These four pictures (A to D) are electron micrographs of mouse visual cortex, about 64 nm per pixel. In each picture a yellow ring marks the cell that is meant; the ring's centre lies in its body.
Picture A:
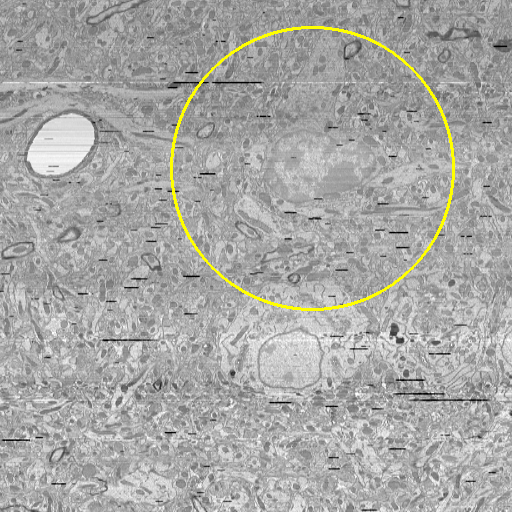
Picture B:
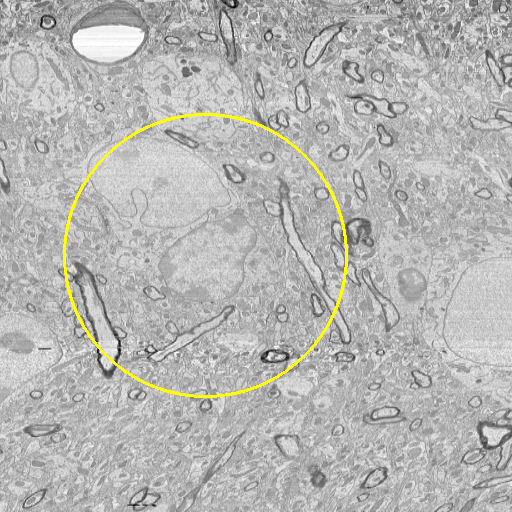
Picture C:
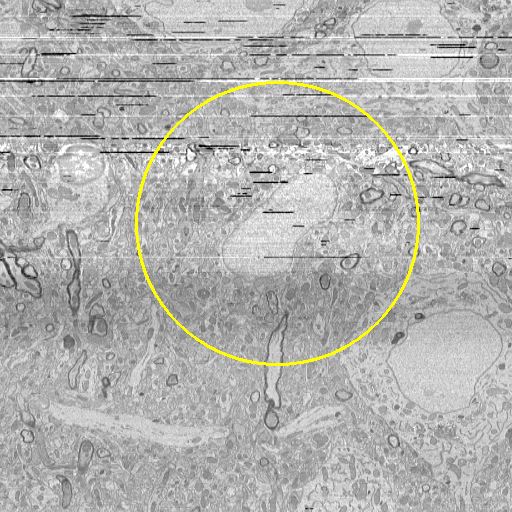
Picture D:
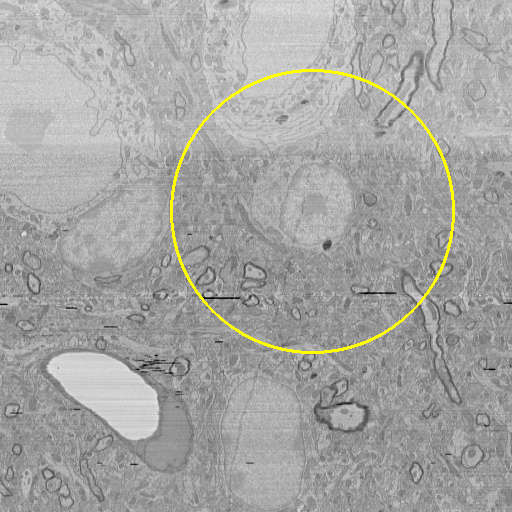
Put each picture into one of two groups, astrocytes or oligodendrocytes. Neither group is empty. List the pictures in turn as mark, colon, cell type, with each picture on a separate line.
A: oligodendrocyte
B: oligodendrocyte
C: astrocyte
D: oligodendrocyte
